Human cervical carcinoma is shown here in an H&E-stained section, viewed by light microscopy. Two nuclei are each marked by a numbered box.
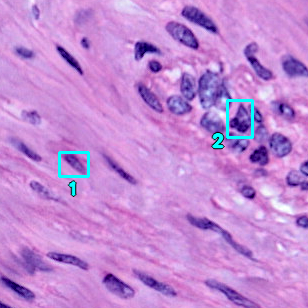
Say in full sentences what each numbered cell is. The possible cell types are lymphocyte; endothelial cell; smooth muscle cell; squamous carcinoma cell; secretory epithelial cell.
Cell 1 is a smooth muscle cell and cell 2 is an endothelial cell.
